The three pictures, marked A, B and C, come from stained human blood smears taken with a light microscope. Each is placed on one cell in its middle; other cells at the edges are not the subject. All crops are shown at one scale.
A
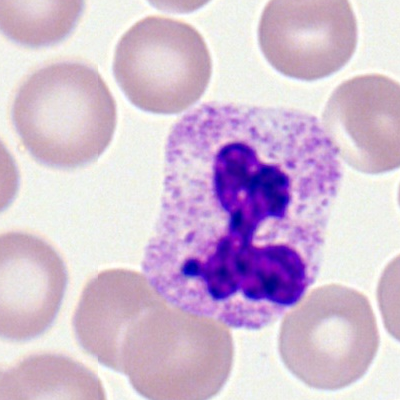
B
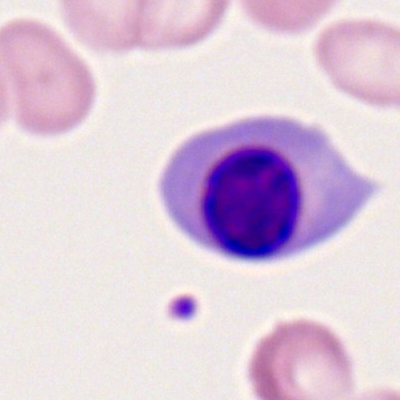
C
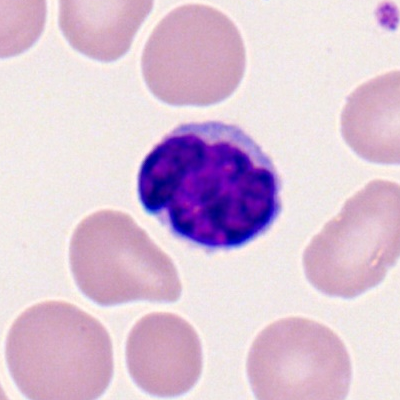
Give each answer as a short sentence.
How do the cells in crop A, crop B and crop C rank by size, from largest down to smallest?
Largest first: A, B, C.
